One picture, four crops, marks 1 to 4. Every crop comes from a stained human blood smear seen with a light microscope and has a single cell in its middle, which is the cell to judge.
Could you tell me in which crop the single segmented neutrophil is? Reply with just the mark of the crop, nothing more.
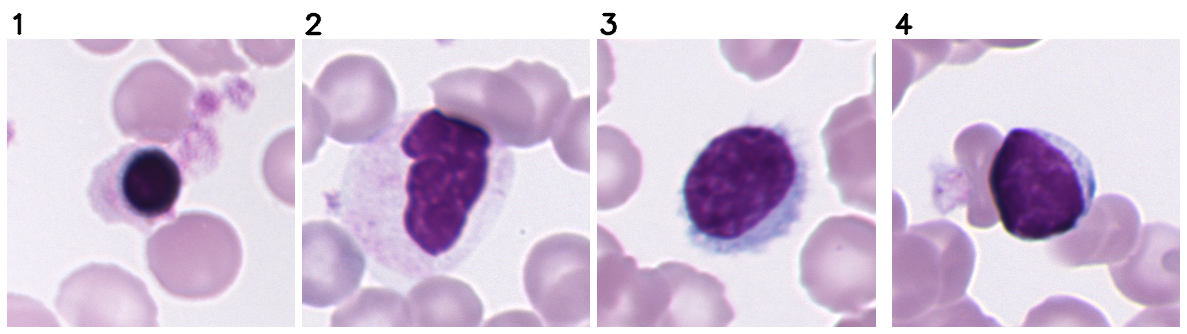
2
